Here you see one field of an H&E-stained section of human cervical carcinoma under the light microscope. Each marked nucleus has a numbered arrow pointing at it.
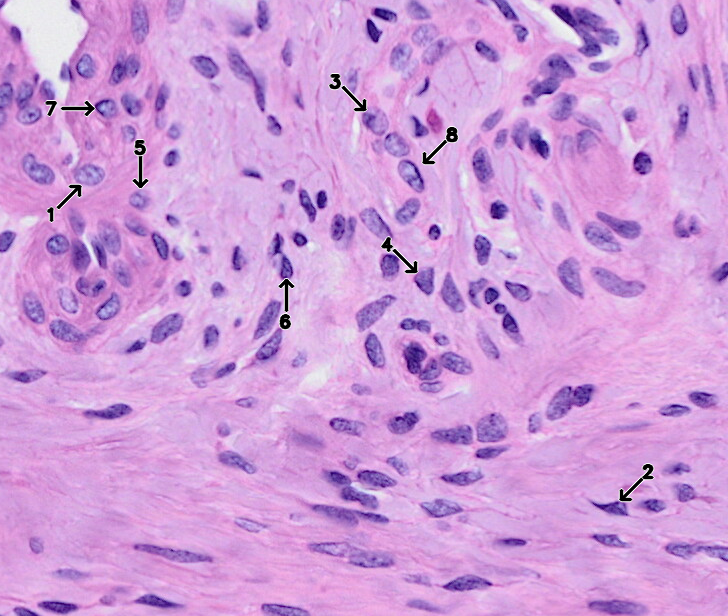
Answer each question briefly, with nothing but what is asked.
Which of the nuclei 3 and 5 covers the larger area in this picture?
3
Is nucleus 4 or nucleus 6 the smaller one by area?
6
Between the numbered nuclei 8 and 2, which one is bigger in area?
8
